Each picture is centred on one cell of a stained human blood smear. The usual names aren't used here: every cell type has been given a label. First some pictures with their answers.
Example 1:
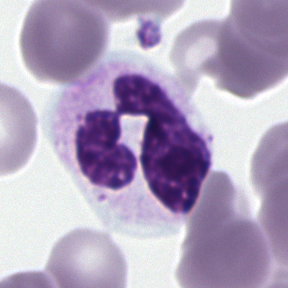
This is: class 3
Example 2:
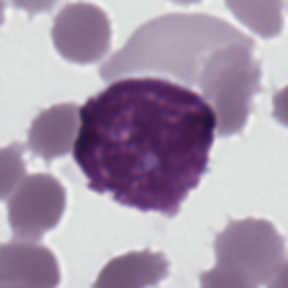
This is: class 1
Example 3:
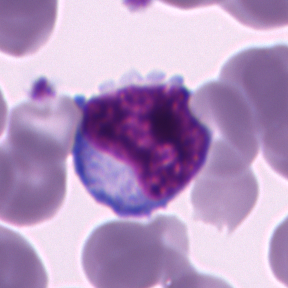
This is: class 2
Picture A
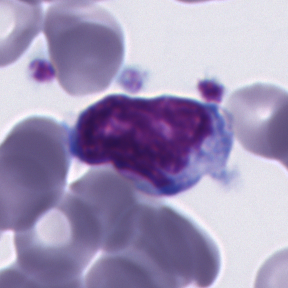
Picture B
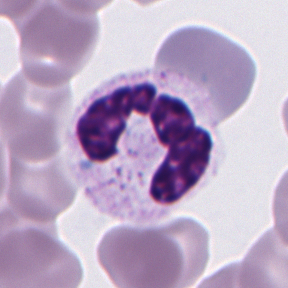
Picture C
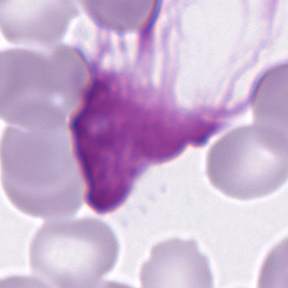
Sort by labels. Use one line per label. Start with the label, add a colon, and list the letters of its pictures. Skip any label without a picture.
class 3: B
class 1: C
class 2: A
